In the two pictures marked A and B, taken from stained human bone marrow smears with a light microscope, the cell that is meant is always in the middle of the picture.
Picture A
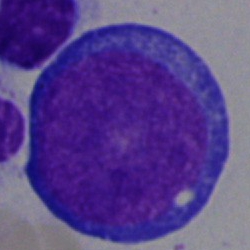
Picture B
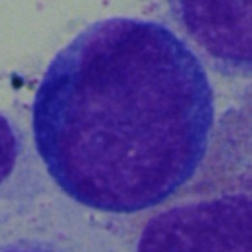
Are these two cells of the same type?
yes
